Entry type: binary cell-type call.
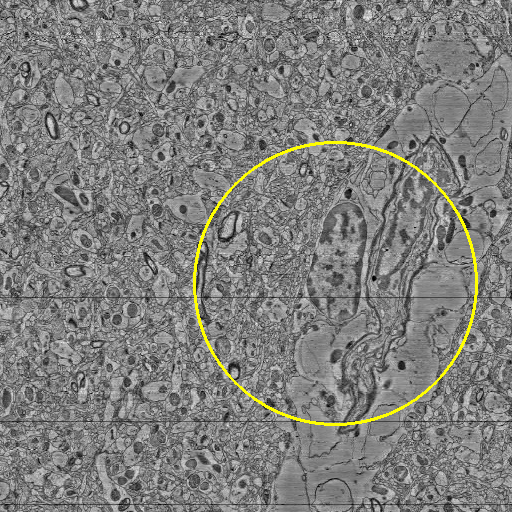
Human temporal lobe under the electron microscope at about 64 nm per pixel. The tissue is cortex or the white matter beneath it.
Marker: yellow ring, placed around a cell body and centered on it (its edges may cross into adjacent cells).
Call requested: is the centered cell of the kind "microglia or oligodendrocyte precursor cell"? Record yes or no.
yes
